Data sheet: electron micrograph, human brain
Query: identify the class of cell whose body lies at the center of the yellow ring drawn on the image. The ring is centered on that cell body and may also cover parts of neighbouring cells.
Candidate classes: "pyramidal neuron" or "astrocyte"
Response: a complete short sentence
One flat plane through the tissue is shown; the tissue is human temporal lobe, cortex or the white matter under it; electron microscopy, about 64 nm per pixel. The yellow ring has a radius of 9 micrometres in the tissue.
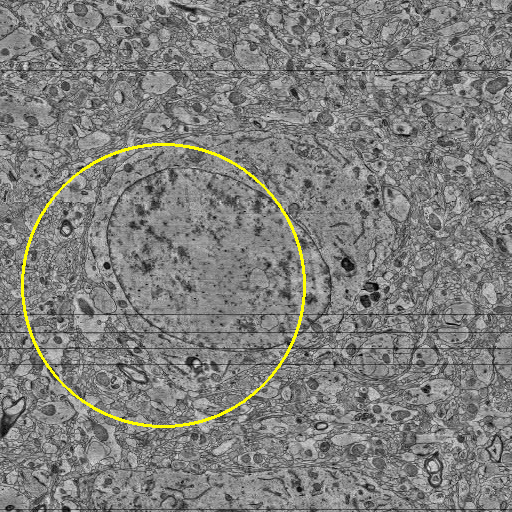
At the center of the ring lies a pyramidal neuron.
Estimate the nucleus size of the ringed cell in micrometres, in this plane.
Roughly 15 by 11 micrometres is the size of the nucleus in this plane.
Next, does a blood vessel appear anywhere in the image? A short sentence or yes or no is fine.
No, the image shows no blood vessel.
